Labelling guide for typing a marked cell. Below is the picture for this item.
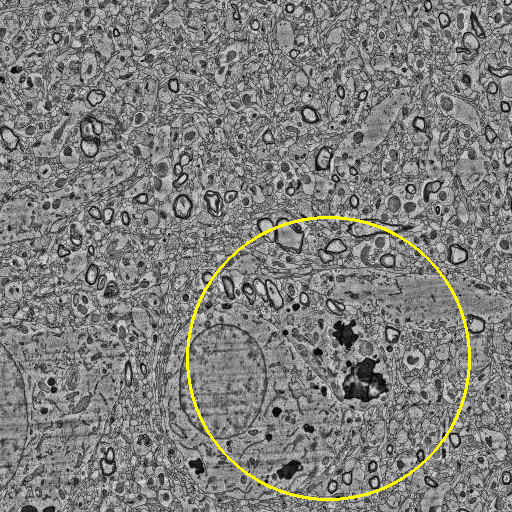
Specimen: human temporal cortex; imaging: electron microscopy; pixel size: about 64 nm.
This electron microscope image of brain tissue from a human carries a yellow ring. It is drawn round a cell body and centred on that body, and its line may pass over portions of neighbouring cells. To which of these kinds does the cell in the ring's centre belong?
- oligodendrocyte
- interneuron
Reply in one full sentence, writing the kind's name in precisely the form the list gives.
Here we have an oligodendrocyte at the centre of the yellow ring in the picture.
